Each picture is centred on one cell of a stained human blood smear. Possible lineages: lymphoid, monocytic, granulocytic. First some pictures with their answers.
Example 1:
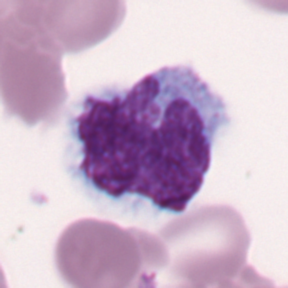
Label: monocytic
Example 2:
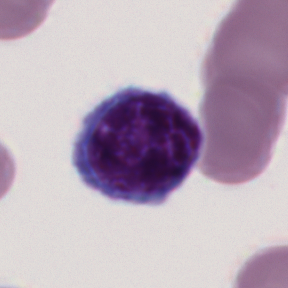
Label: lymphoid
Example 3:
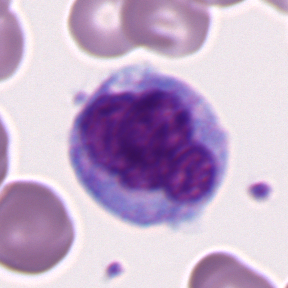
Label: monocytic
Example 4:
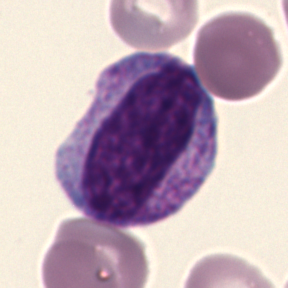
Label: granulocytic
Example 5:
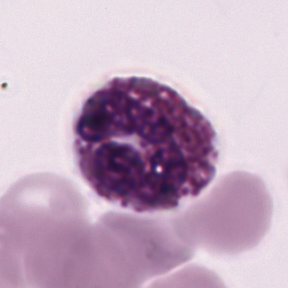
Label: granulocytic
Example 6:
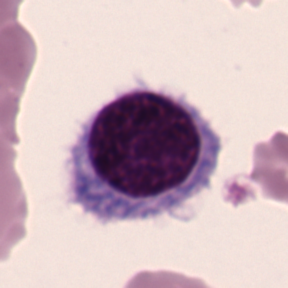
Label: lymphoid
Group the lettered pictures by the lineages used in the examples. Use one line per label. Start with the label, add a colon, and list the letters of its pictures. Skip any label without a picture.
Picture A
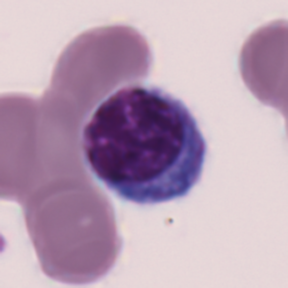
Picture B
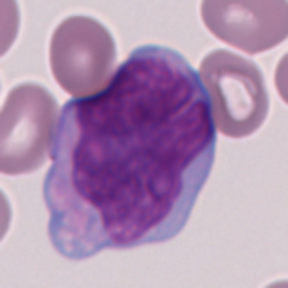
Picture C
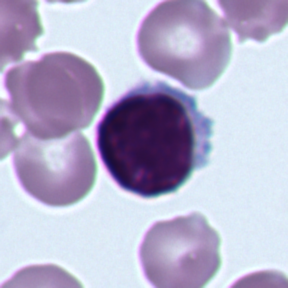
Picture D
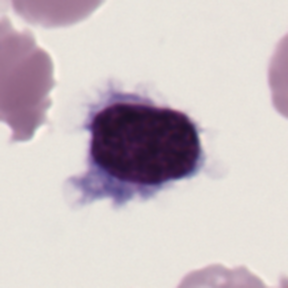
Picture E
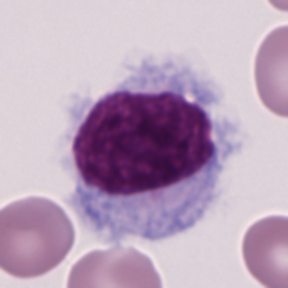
lymphoid: A, C, D, E
granulocytic: B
